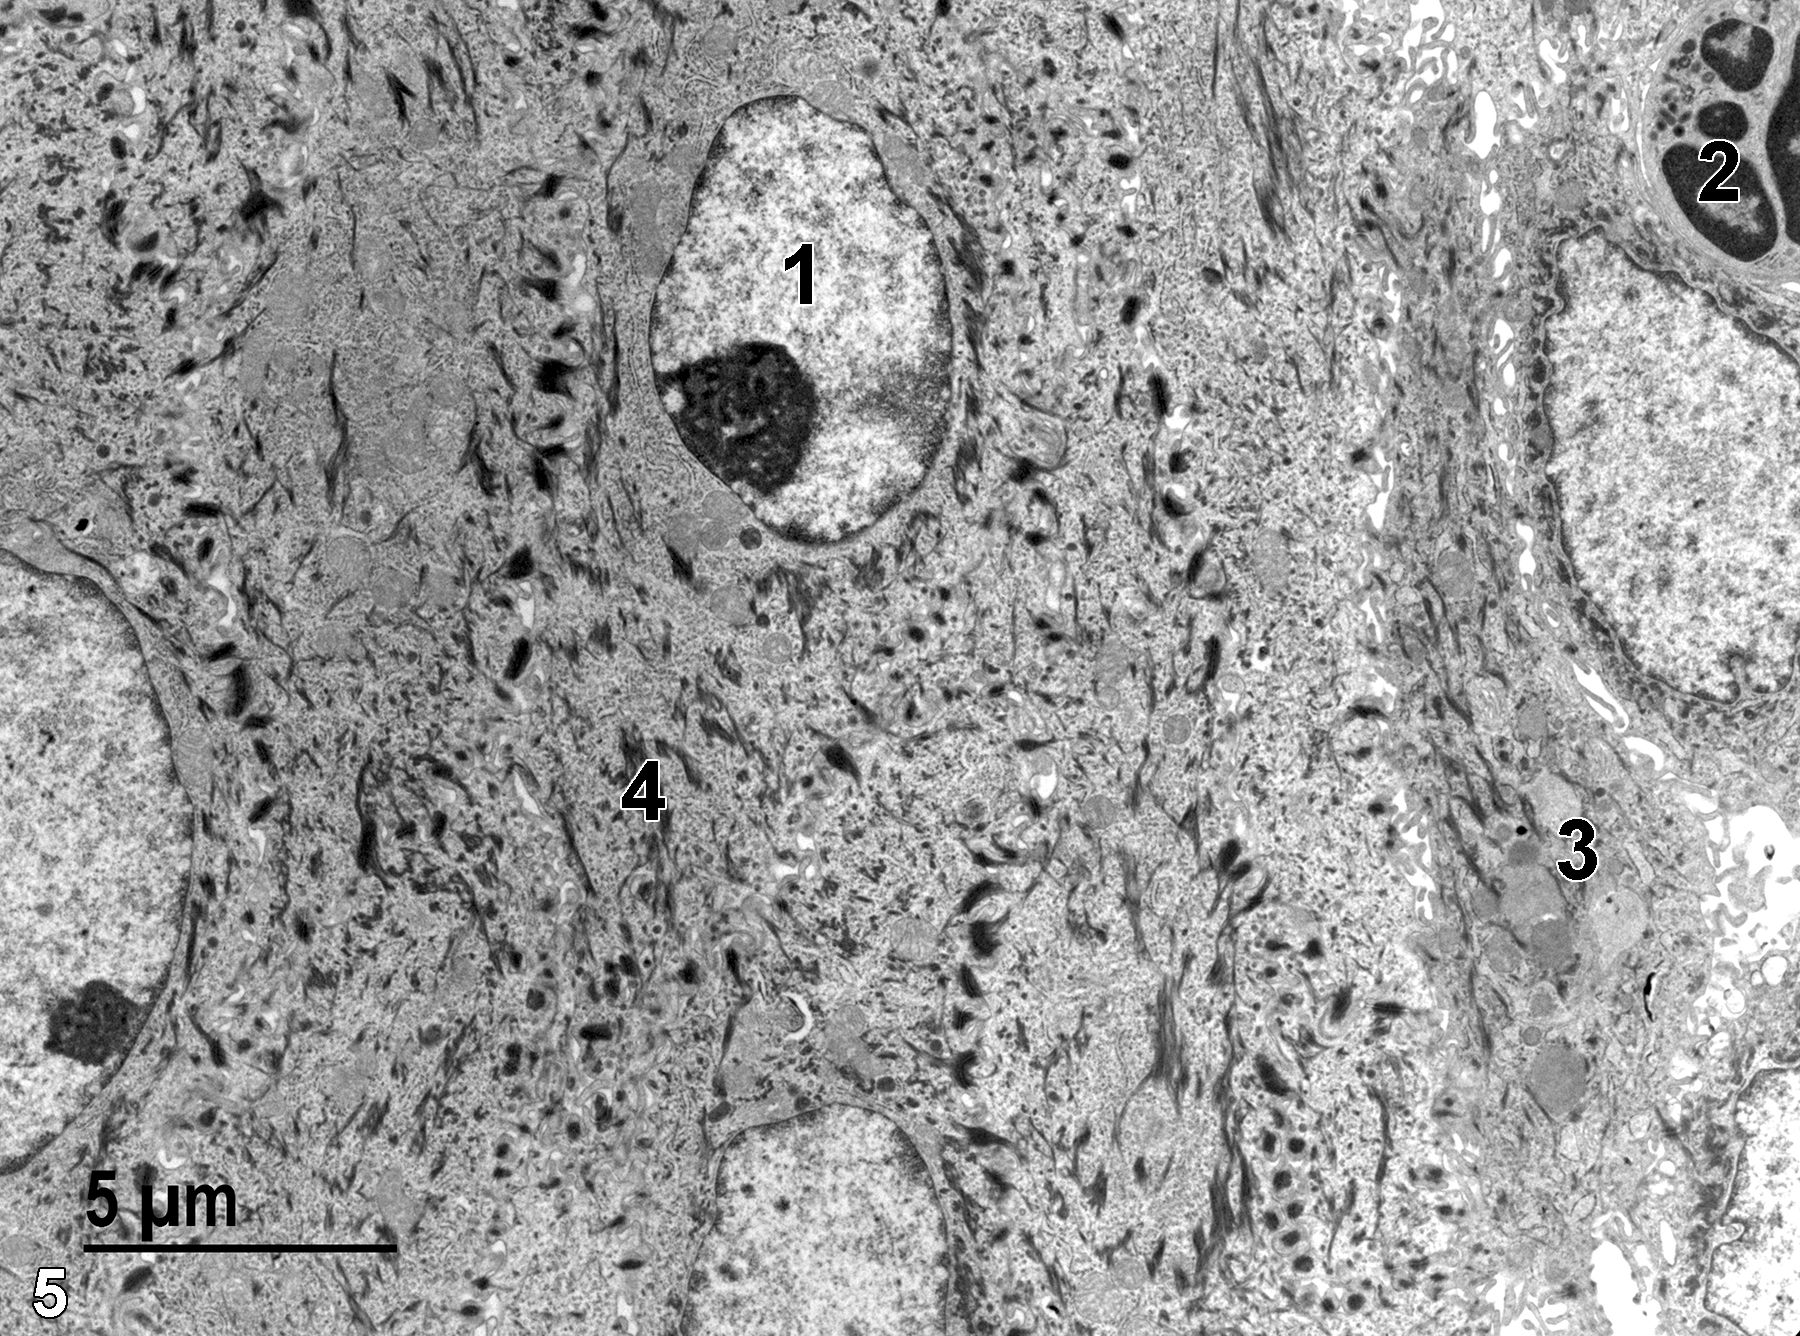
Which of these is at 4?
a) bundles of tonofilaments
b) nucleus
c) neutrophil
a) bundles of tonofilaments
